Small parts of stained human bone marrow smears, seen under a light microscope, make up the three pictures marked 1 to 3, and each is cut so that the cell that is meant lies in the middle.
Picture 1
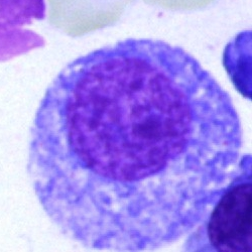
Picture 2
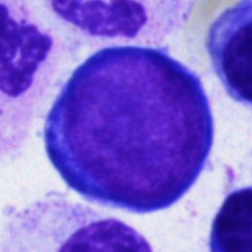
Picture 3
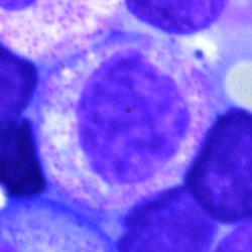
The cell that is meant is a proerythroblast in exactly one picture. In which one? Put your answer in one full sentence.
Picture 2 shows the proerythroblast.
